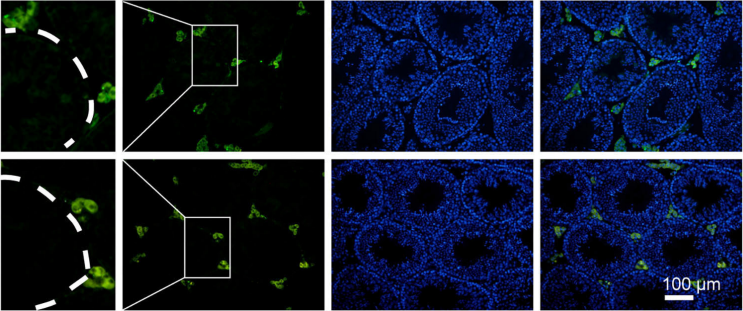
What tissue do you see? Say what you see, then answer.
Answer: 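Many closely packed round tubule profiles cut in cross section. Each profile has layered nuclei around a central lumen. Small angular spaces between the profiles. So: testis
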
